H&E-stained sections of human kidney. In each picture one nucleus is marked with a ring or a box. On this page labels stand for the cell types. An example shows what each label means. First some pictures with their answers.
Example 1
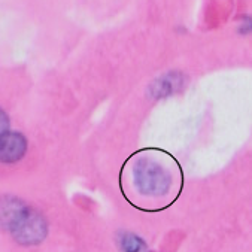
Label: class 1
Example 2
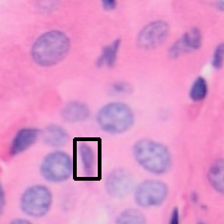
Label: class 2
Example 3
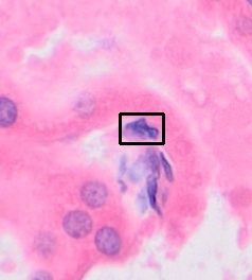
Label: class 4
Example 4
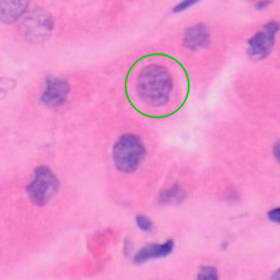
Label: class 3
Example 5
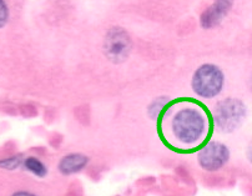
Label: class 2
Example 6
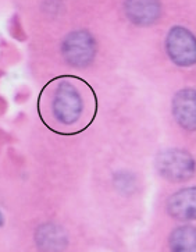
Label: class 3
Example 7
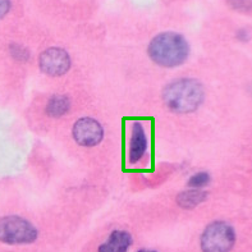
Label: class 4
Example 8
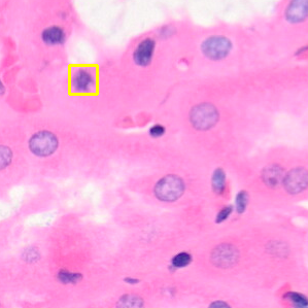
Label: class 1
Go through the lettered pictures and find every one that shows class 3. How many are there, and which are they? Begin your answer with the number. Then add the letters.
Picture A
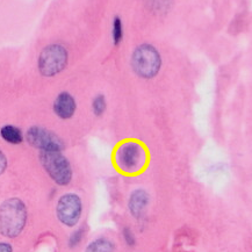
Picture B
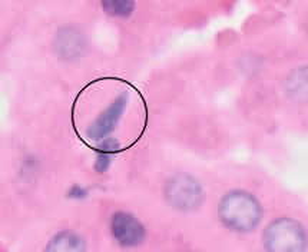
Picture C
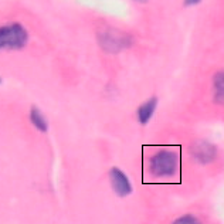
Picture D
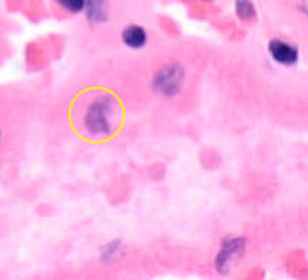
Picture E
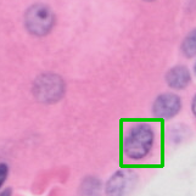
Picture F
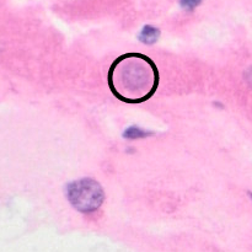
3, namely C, D, F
